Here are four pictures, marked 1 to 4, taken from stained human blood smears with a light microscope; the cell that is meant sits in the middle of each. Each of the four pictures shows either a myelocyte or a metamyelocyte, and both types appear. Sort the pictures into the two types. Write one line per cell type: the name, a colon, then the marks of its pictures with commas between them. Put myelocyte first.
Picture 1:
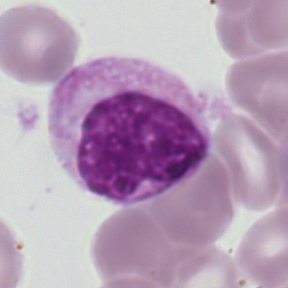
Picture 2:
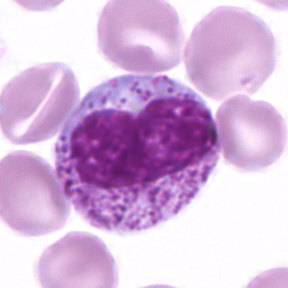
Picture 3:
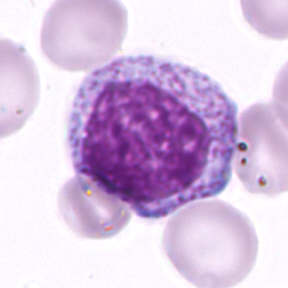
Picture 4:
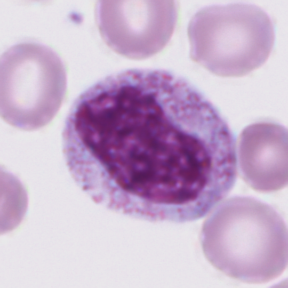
myelocyte: 3
metamyelocyte: 1, 2, 4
